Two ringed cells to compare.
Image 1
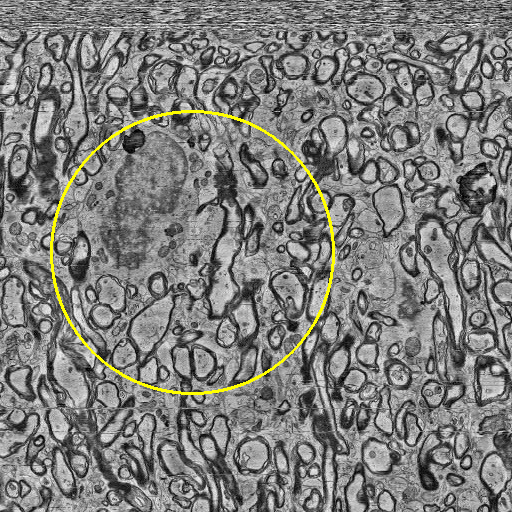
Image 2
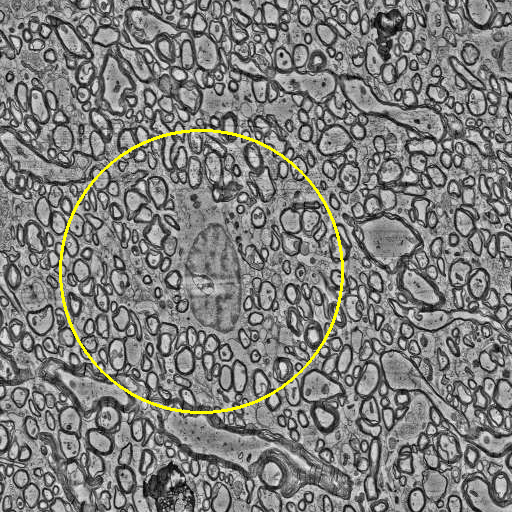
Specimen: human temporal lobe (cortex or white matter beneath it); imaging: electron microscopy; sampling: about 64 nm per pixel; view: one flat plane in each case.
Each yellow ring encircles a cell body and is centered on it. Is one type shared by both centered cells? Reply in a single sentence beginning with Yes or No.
No, two types are found among the cells at the centers of the rings.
